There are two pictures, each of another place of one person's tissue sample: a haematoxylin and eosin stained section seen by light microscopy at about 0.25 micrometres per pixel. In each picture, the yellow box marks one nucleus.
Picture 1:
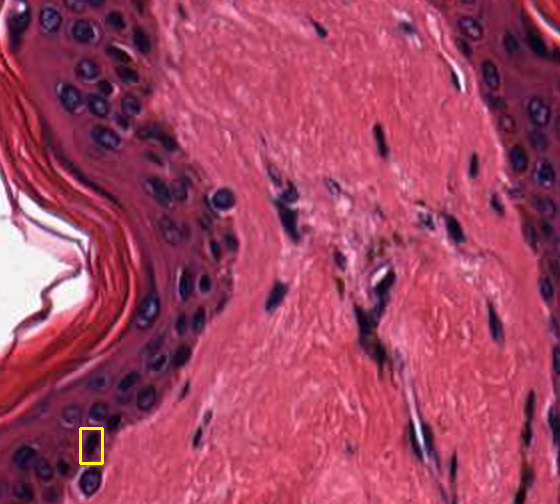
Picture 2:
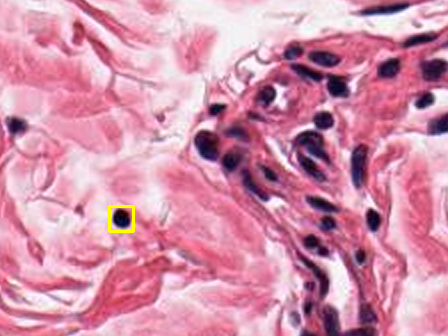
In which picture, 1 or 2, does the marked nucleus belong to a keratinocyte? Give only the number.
1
